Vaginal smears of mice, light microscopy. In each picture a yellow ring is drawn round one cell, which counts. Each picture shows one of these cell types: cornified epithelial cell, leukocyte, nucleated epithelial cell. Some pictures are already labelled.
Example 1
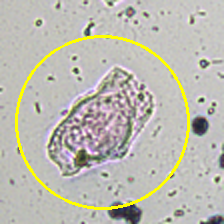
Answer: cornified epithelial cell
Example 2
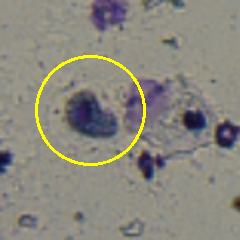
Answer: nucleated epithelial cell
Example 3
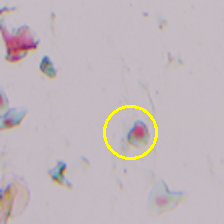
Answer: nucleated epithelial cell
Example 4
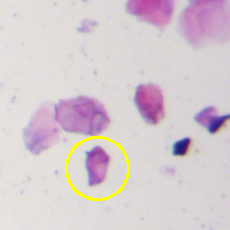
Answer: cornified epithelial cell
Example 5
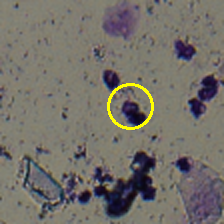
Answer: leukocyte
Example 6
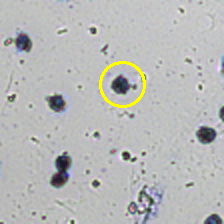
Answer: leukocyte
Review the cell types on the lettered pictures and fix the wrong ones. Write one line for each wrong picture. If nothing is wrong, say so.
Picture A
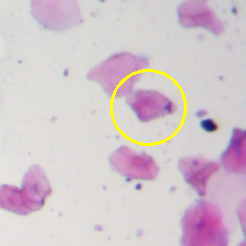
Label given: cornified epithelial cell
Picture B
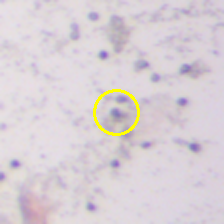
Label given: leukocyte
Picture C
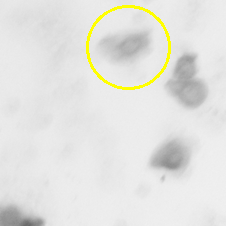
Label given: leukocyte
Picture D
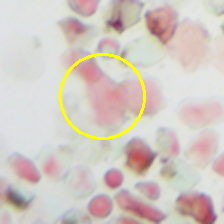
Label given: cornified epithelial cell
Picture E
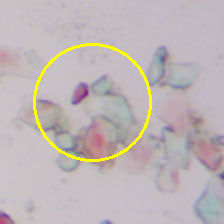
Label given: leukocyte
C: change leukocyte to nucleated epithelial cell
E: change leukocyte to cornified epithelial cell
